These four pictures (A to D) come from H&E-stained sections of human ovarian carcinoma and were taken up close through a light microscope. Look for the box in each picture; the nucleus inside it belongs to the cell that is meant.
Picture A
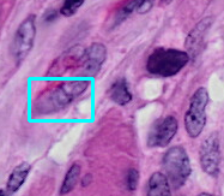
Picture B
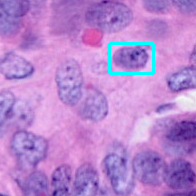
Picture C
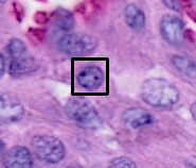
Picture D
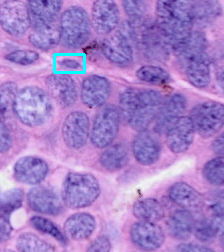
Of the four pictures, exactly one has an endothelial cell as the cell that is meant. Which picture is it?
A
